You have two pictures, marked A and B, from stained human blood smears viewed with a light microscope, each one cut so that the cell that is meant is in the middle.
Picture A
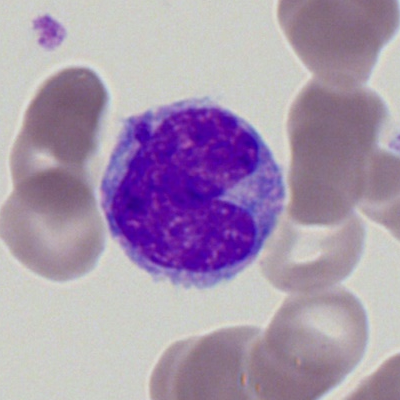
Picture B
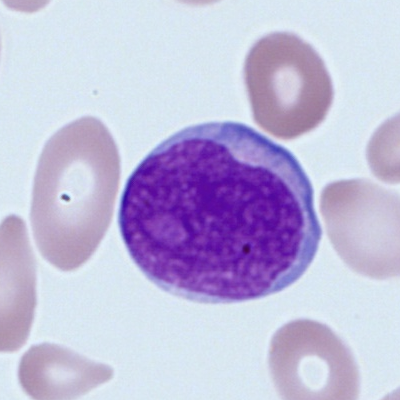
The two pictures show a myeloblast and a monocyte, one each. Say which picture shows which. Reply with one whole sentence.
Picture A shows a monocyte and picture B shows a myeloblast.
